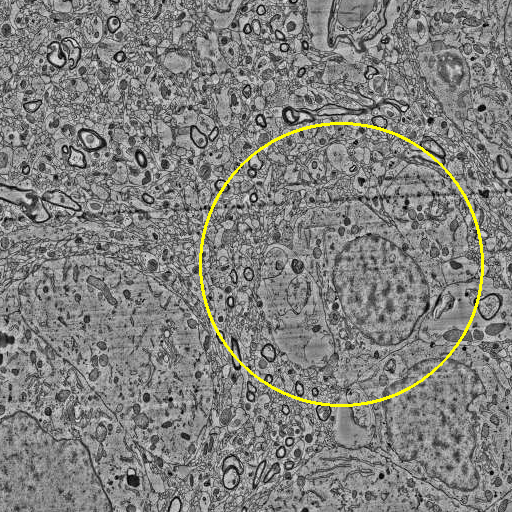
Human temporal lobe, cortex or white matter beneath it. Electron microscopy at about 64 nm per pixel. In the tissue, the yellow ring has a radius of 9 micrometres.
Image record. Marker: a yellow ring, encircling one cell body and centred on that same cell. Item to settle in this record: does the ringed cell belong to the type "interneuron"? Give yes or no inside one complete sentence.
Yes, in the picture, the cell centred within the yellow ring is of the stated type.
